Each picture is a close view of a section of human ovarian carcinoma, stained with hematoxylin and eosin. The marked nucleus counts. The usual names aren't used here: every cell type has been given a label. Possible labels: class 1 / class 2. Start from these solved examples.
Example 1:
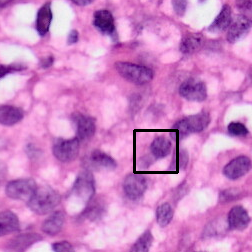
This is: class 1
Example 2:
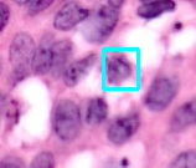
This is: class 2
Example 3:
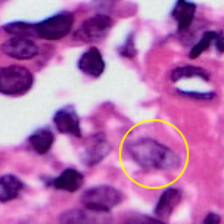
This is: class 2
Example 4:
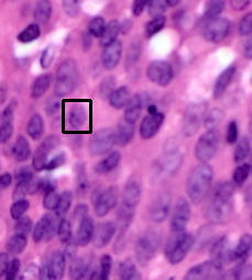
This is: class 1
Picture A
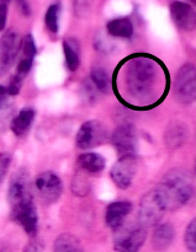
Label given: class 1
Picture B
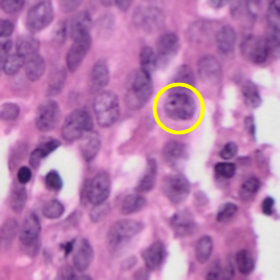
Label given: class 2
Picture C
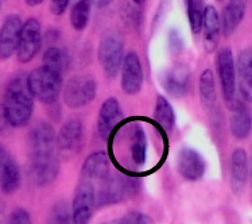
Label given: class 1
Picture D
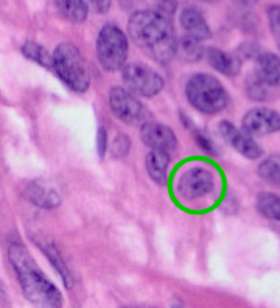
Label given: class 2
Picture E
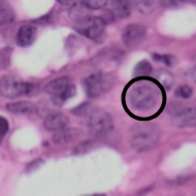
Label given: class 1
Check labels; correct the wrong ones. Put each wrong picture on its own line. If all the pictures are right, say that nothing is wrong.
Every label is right.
